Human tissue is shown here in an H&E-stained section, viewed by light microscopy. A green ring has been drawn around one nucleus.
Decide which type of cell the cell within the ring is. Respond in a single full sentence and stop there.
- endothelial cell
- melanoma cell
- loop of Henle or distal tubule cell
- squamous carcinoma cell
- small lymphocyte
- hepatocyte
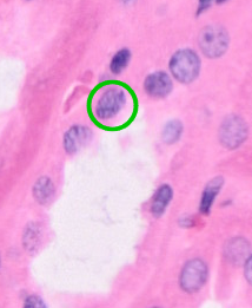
In cellular terms, the cell within the ring is a loop of Henle or distal tubule cell.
